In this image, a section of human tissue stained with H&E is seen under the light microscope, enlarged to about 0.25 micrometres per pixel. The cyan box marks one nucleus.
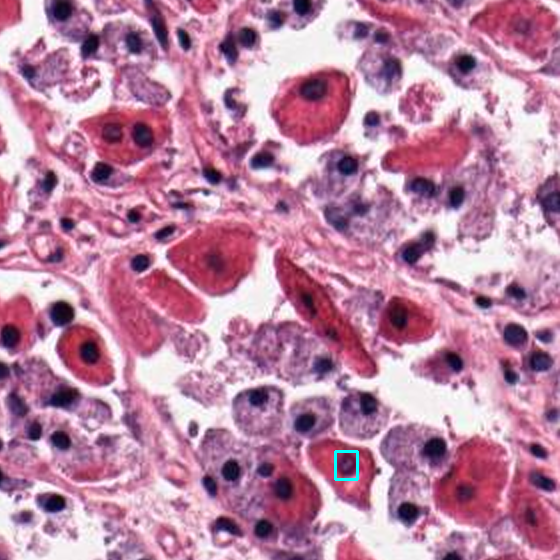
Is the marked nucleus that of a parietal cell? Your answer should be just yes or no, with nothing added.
yes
